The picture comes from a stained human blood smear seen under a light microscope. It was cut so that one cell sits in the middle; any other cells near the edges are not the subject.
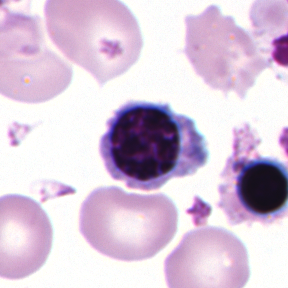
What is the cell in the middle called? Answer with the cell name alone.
erythroblast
